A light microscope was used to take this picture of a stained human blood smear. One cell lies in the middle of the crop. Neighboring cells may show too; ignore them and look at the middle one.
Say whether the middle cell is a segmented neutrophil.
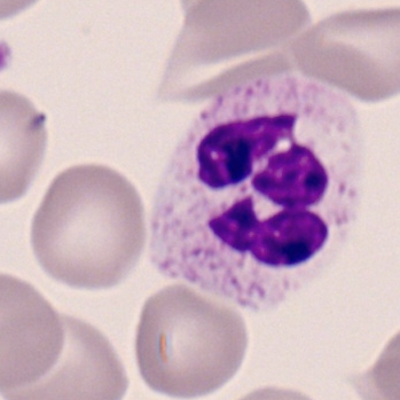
yes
